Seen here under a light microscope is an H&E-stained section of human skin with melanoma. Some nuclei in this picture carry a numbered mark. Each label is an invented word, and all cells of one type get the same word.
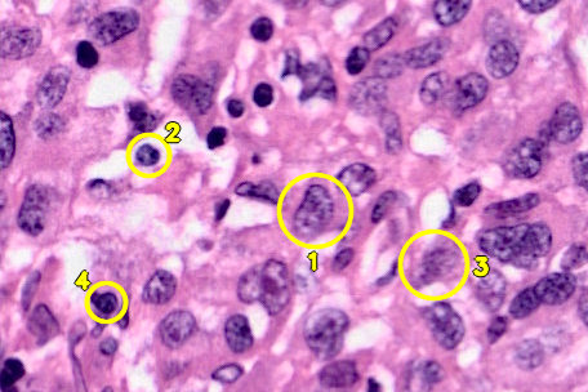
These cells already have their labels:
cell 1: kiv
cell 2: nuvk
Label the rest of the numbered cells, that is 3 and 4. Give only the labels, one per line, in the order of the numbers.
kiv
nuvk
